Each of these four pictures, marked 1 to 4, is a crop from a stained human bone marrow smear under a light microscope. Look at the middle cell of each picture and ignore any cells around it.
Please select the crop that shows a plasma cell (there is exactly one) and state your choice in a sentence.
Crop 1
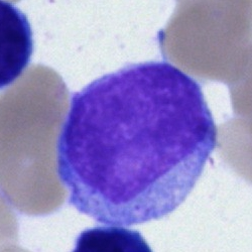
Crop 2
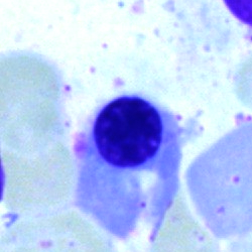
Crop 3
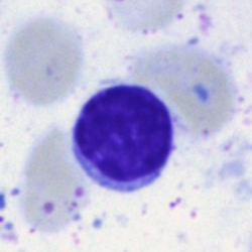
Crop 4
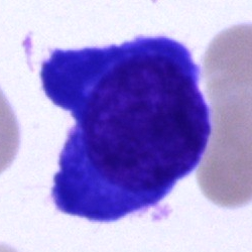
Of the labeled crops, the one with a plasma cell is crop 4.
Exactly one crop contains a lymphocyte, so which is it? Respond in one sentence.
The one that shows a lymphocyte is crop 3.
